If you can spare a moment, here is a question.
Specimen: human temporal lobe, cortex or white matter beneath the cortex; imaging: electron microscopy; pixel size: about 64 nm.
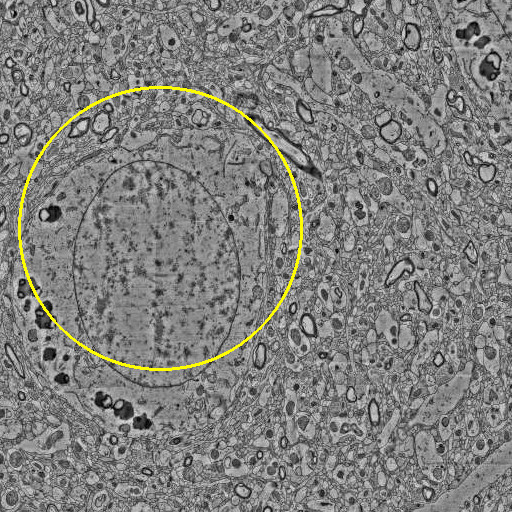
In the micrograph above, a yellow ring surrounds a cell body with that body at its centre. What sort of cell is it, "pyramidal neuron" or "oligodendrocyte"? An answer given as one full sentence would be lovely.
Centred inside the yellow ring, the cell body shown belongs to a pyramidal neuron in this micrograph.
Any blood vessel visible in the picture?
No, no vessel appears in the picture.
